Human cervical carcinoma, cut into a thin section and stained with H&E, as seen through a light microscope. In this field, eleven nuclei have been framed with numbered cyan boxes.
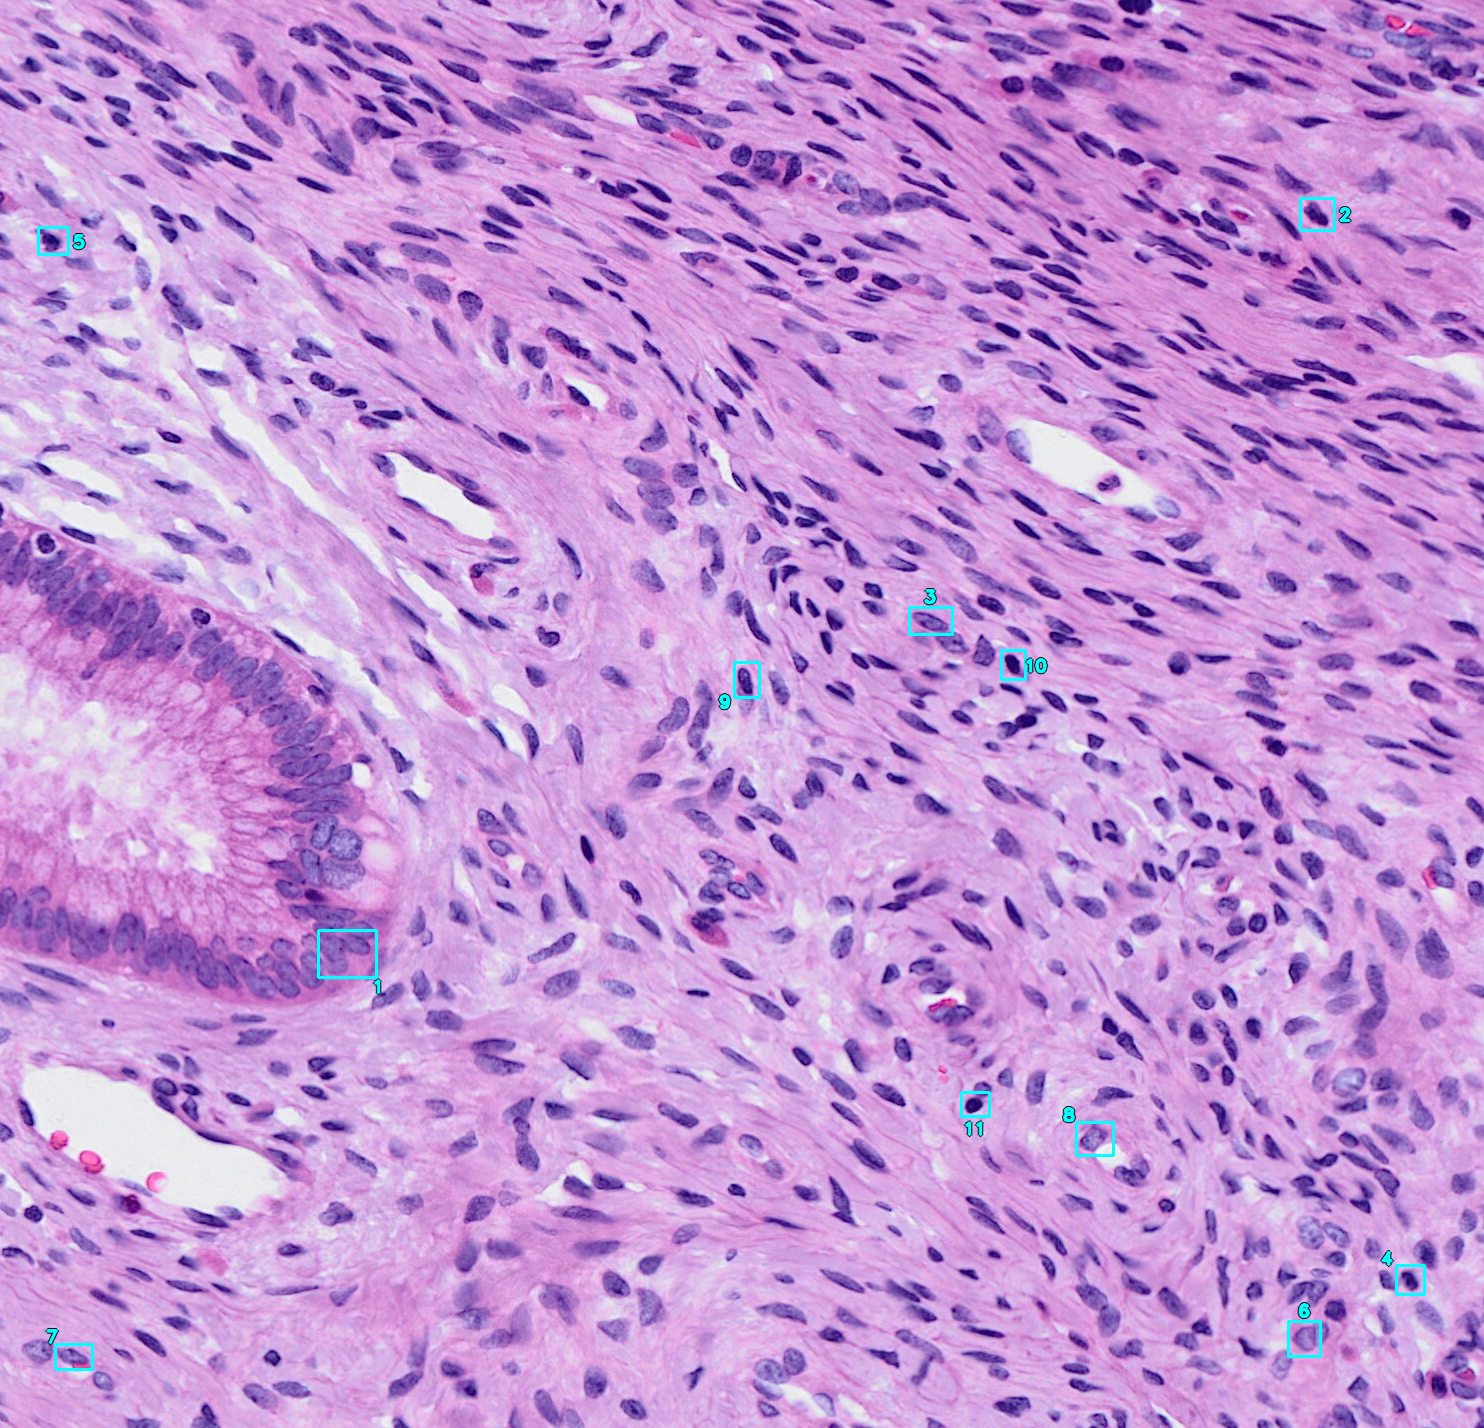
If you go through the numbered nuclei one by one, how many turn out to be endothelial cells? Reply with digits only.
4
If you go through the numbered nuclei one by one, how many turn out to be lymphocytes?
6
